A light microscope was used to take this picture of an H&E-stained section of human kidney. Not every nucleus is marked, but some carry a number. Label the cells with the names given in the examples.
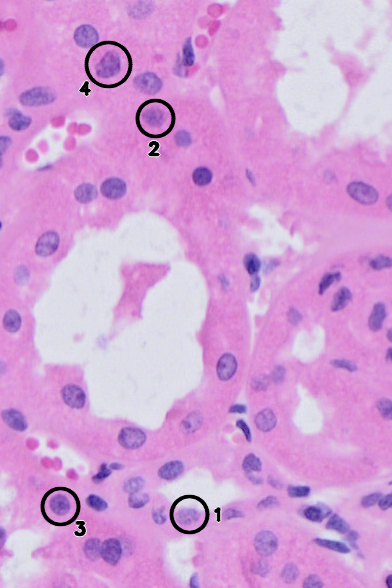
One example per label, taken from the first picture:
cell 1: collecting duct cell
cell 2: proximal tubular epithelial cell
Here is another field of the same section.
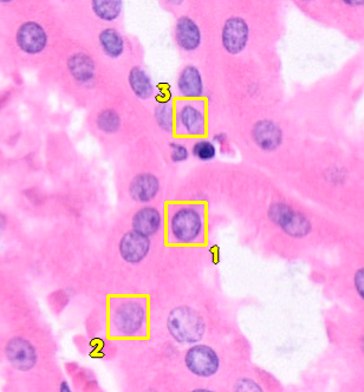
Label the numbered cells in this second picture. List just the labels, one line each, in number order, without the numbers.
proximal tubular epithelial cell
proximal tubular epithelial cell
collecting duct cell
